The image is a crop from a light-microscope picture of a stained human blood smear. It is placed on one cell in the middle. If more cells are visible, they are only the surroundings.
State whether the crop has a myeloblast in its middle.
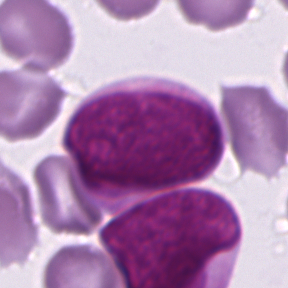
yes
